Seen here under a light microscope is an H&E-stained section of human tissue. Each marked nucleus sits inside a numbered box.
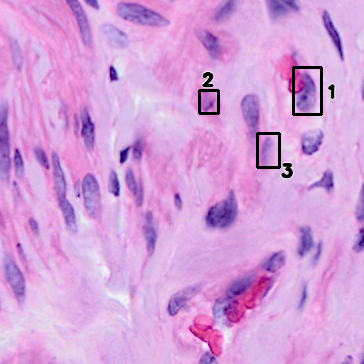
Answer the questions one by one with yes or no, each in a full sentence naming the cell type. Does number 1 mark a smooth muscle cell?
No, the cell under number 1 is an endothelial cell, not a smooth muscle cell.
